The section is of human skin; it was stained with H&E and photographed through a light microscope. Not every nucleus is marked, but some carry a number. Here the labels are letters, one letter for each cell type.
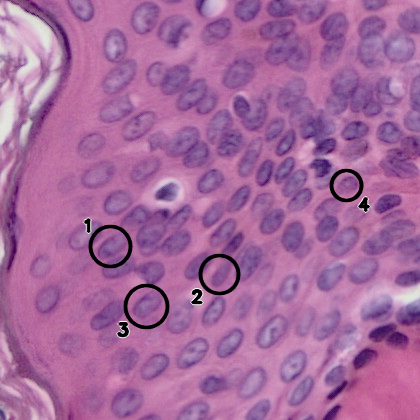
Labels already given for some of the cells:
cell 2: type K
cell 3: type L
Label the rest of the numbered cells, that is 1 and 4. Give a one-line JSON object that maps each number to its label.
{"1": "type L", "4": "type K"}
